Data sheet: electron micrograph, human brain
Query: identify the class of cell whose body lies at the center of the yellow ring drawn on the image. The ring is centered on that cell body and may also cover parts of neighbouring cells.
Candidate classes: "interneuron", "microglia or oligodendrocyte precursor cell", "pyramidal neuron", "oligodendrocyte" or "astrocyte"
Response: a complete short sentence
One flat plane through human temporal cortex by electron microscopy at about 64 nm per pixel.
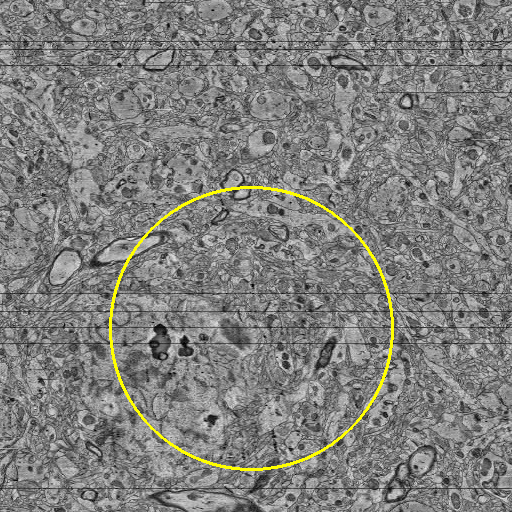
At the center of the ring lies a microglial cell or oligodendrocyte precursor cell.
